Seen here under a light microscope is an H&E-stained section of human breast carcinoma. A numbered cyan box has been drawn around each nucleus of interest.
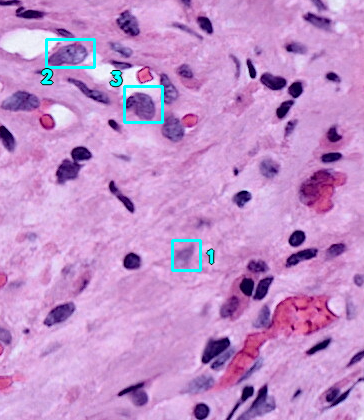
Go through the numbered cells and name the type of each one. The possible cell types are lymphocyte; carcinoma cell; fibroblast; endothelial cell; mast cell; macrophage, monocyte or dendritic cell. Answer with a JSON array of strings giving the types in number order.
["fibroblast", "endothelial cell", "endothelial cell"]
